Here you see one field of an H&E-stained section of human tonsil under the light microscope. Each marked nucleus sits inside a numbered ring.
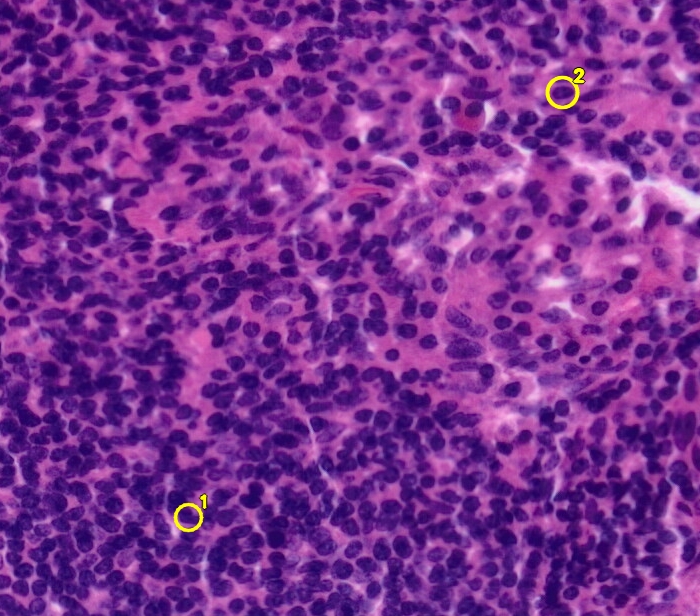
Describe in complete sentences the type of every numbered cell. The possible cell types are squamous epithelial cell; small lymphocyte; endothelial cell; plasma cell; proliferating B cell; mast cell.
Cell 1 is a small lymphocyte and cell 2 is a plasma cell.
